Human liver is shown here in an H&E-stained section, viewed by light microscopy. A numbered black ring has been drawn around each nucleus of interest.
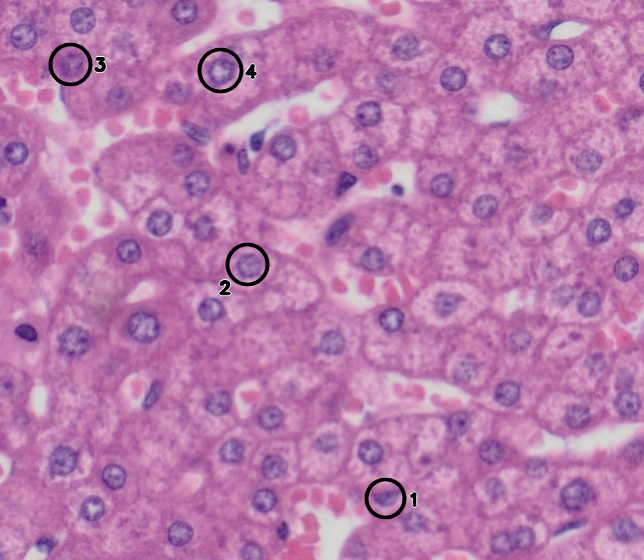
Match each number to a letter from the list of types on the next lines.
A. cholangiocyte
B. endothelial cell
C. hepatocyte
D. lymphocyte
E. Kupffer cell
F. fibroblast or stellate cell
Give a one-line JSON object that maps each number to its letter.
{"1": "B", "2": "C", "3": "C", "4": "C"}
